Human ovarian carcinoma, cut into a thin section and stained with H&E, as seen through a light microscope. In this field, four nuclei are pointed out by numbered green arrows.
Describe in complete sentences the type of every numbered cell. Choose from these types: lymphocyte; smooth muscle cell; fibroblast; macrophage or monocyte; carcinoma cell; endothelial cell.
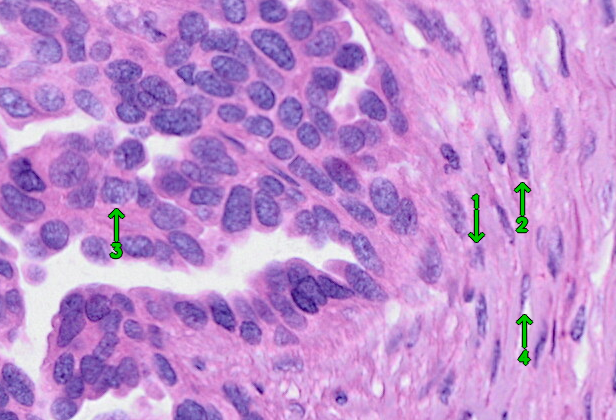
Cells 1, 2 and 4 are fibroblasts. Cell 3 is a carcinoma cell.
